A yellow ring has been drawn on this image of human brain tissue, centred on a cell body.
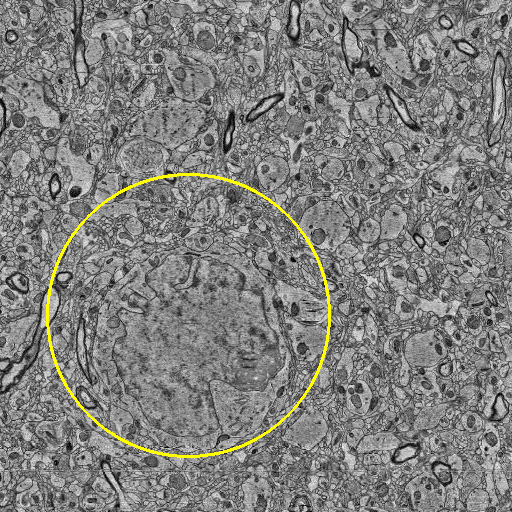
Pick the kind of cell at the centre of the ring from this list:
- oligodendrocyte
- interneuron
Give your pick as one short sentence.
The centre of the ring holds an interneuron.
